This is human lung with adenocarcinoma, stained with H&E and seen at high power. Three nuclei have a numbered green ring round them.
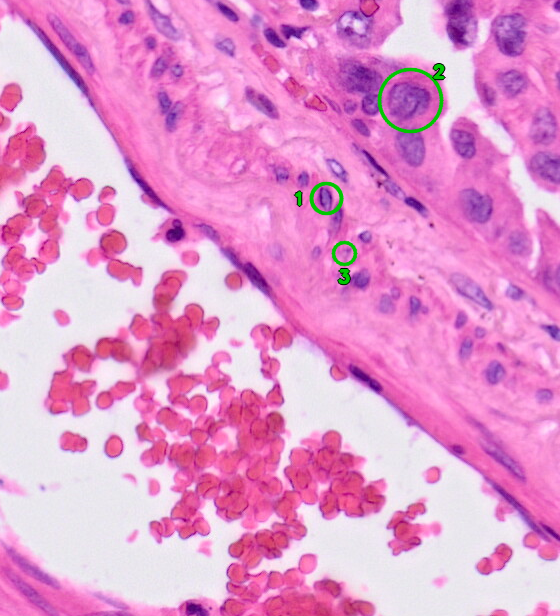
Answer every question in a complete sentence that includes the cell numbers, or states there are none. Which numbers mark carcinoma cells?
Of all the numbered cells, only cell 2 is a carcinoma cell.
